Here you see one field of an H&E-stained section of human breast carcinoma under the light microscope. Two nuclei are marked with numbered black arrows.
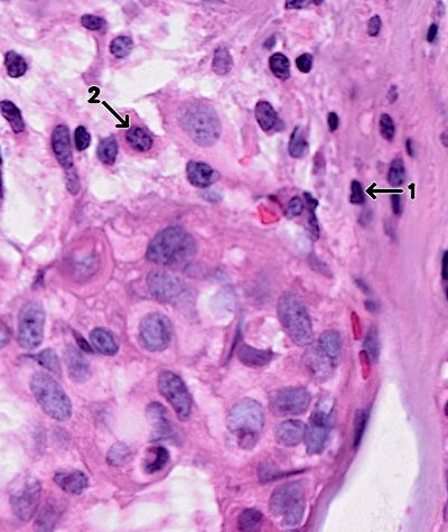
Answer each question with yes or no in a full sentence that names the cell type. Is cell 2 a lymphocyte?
No, cell 2 is not a lymphocyte; a mast cell is correct.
